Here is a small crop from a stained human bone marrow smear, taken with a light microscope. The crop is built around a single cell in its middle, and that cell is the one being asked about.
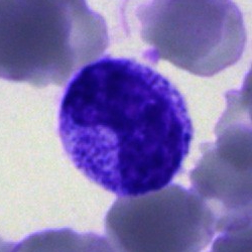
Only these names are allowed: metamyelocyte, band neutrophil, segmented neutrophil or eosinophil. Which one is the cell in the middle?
metamyelocyte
